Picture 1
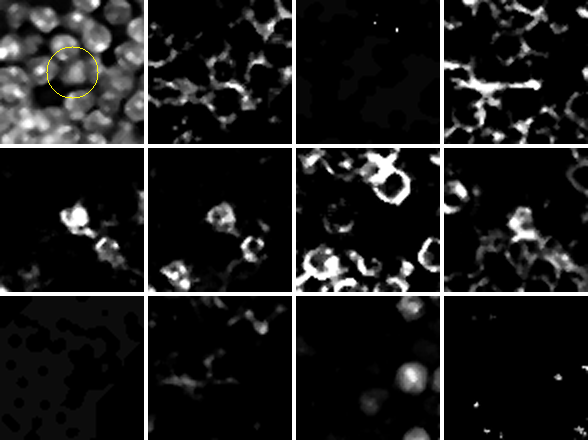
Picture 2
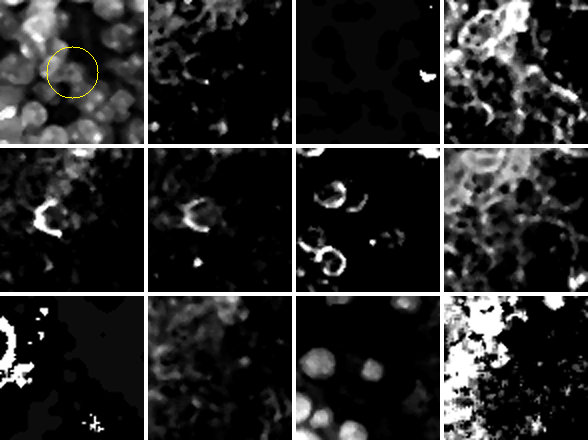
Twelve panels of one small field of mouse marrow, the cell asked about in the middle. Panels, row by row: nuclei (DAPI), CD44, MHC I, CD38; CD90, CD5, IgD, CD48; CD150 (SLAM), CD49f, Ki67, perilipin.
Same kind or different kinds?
Different: the first is a T cell, the second a capillary endothelial cell.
